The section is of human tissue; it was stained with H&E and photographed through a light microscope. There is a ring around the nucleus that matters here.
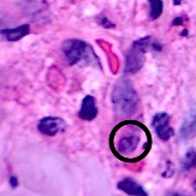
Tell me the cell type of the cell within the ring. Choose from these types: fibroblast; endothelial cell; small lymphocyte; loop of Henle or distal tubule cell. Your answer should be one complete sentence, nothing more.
Recorded by type, the cell within the ring is an endothelial cell.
